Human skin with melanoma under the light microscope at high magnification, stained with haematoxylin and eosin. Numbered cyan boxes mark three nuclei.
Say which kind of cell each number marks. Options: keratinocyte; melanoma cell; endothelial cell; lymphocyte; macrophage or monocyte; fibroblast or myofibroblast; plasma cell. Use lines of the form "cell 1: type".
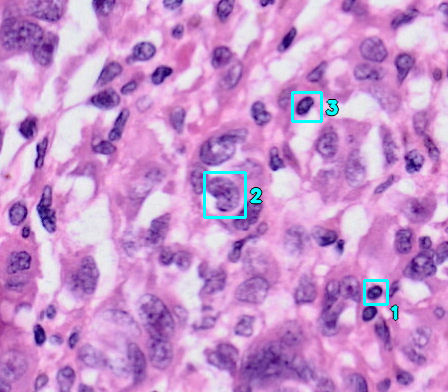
cell 1: lymphocyte
cell 2: melanoma cell
cell 3: lymphocyte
